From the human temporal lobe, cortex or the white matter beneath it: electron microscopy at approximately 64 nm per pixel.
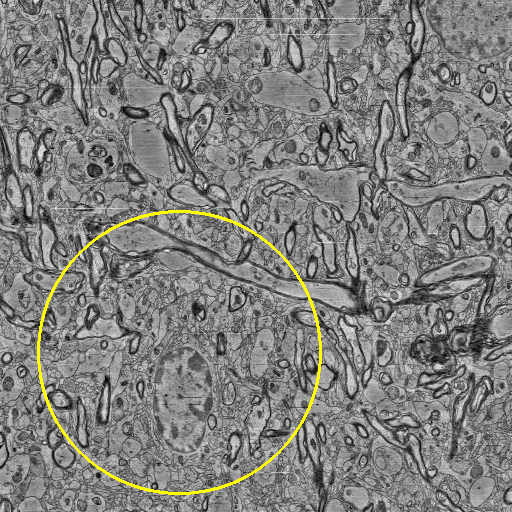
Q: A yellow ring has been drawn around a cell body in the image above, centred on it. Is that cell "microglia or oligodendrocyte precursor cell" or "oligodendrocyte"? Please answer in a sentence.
The ring surrounds the cell body of a microglial cell or oligodendrocyte precursor cell.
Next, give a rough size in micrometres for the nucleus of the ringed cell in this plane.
The nucleus comes to approximately 7 by 4 micrometres and is clearly longer than it is wide in this plane.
